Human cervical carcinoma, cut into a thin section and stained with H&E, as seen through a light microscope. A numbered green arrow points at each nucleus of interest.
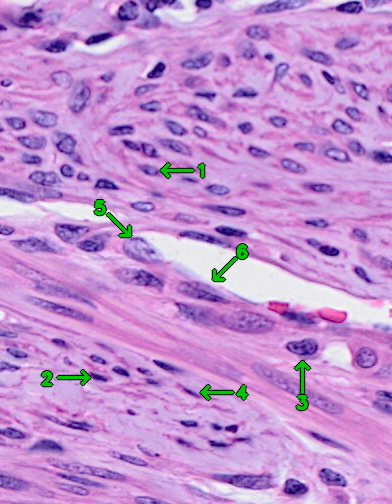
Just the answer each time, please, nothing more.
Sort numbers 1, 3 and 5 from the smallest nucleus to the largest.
1, 3, 5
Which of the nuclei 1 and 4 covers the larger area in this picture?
1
